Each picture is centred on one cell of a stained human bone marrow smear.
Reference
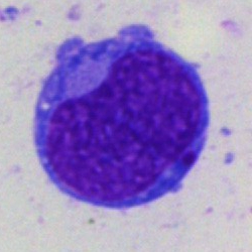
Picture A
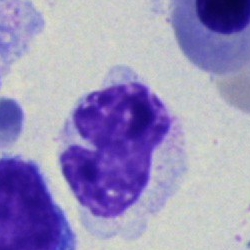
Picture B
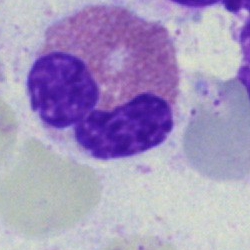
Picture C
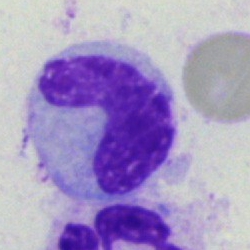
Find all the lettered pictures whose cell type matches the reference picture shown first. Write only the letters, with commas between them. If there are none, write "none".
none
